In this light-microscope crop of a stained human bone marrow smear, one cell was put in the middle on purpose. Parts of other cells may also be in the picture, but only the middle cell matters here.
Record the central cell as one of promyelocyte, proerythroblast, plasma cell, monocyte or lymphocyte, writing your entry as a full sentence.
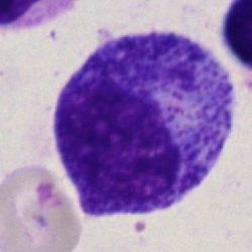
By type, the central cell of the crop is a promyelocyte.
